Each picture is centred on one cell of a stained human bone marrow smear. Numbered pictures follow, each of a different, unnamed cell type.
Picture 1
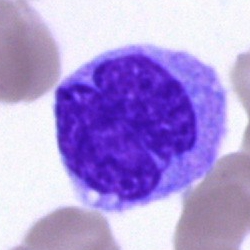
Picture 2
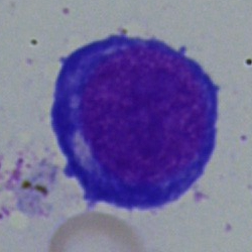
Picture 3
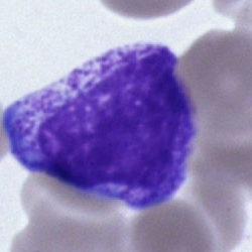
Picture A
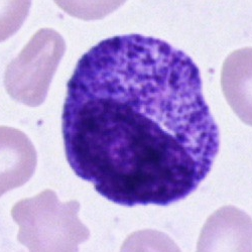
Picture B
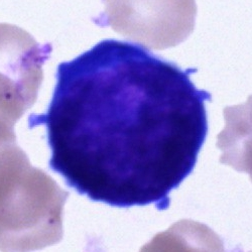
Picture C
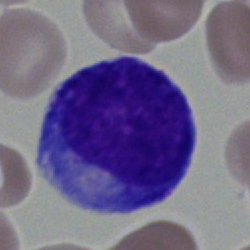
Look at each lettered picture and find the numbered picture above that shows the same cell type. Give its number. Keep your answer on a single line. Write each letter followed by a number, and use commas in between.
A 3, B 2, C 3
